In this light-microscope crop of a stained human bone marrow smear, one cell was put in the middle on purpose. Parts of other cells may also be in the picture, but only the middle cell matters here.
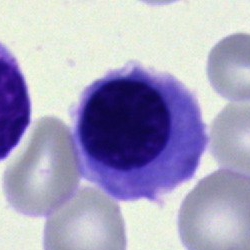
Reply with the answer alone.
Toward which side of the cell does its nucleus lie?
upper left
